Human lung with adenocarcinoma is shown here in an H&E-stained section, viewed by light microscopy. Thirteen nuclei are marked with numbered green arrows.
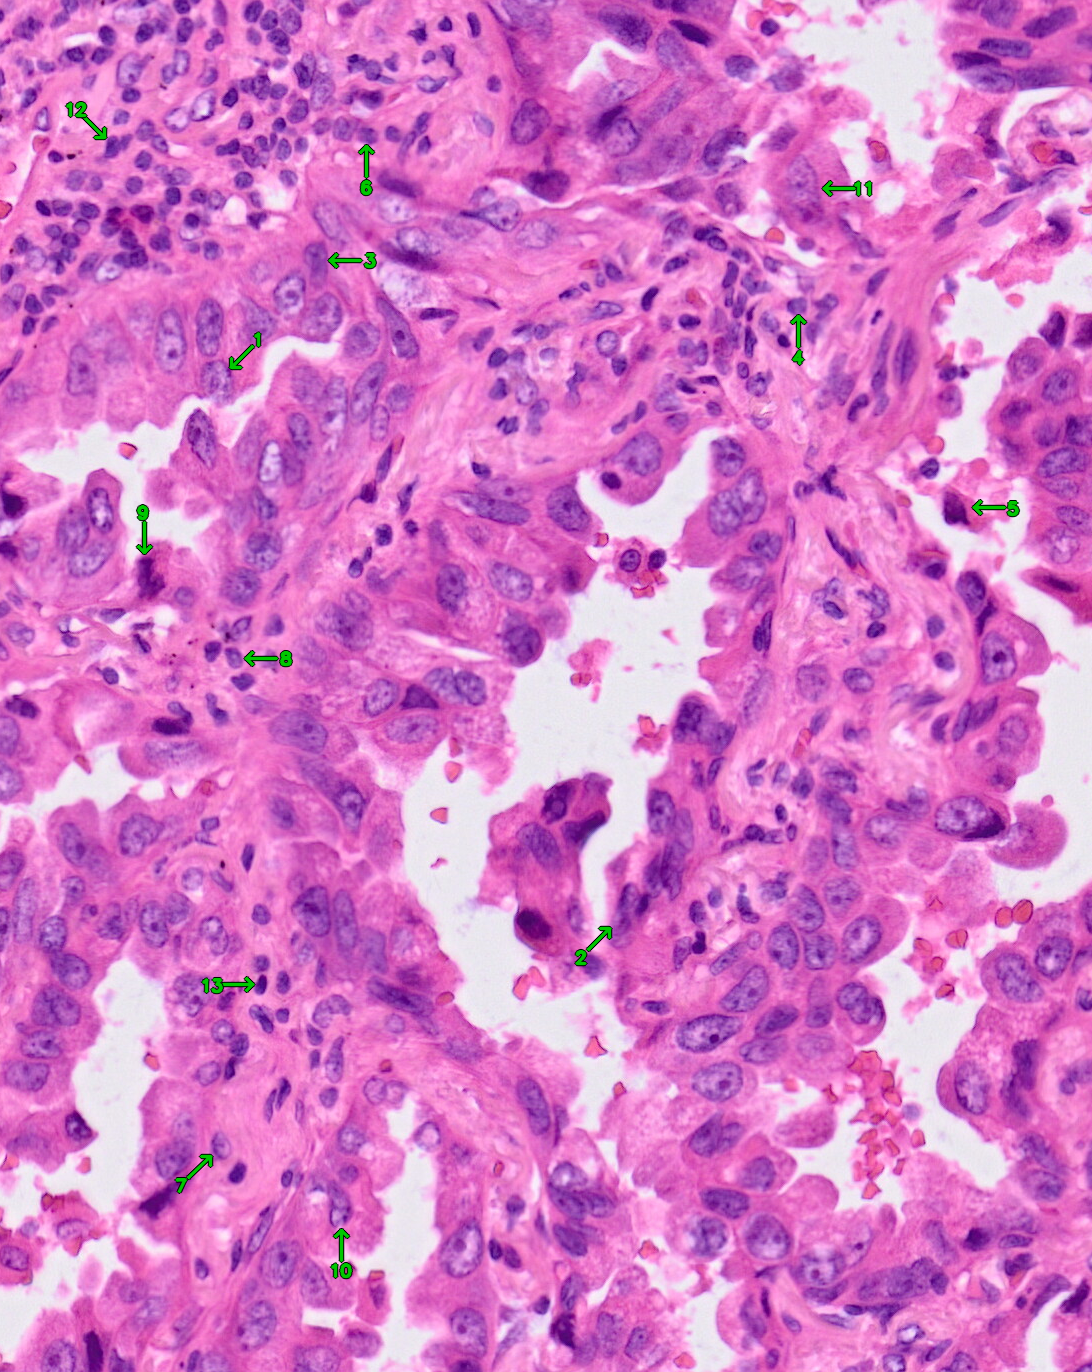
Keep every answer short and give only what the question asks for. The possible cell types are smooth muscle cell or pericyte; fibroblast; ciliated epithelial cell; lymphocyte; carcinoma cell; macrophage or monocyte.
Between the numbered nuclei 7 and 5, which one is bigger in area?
5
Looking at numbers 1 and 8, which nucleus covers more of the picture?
1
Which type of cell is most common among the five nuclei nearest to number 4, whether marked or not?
fibroblast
